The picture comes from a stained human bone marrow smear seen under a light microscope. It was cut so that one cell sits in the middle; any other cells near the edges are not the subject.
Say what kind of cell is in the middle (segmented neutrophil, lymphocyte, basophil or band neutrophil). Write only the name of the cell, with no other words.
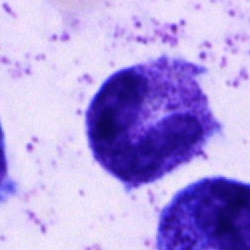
band neutrophil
